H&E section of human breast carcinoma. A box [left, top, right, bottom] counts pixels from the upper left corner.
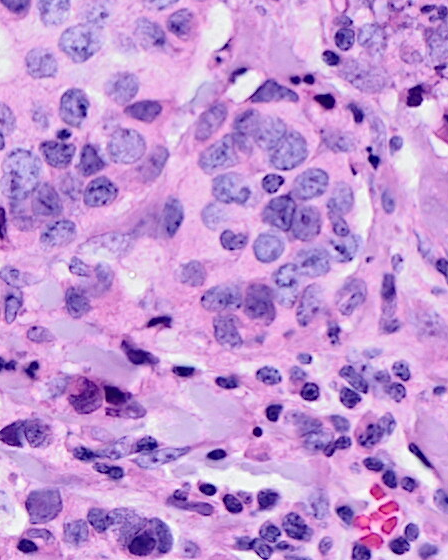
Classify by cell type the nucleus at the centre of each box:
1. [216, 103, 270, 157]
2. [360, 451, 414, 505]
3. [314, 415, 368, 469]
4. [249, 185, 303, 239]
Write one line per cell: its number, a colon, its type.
1: carcinoma cell
2: lymphocyte
3: lymphocyte
4: carcinoma cell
